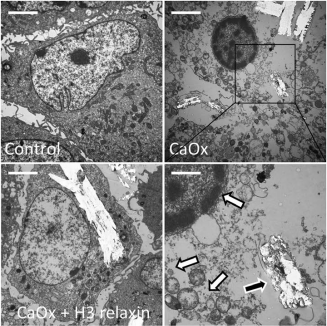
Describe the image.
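In one cell the nucleus is large and oval with evenly dispersed chromatin and a distinct nucleolus, surrounded by cytoplasm holding organelles and an intact outline. In another, the nucleus is shrunken and very dark, with condensed chromatin, and the cytoplasm has broken up into numerous round pale vacuoles that appear to spill outside the cell. Bright, angular, electron-lucent crystal shards with dark dense material lie next to and within the damaged cell. In a third image, a cell with a large, regular nucleus lies beside elongated crystal shards while its cytoplasm remains largely intact.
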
